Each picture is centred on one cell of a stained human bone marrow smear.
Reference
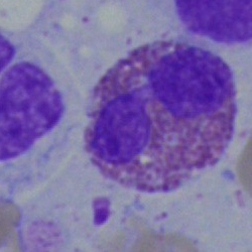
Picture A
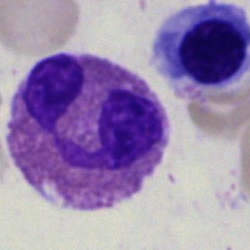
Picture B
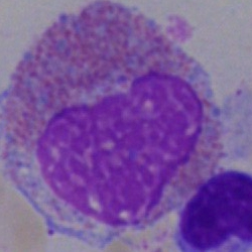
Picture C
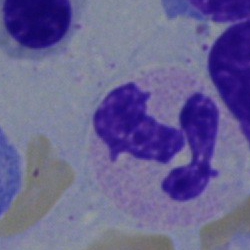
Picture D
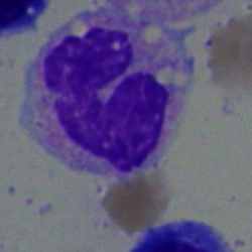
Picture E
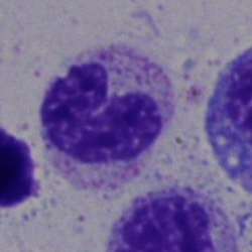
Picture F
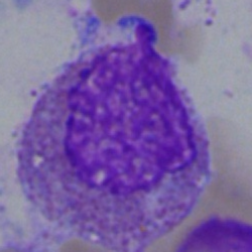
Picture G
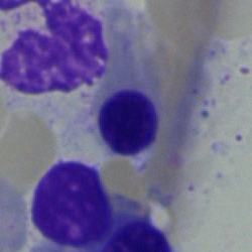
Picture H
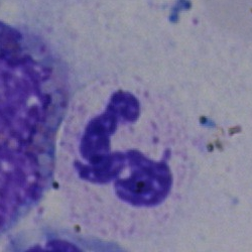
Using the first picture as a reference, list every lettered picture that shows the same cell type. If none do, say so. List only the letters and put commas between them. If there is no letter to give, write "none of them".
A, B, F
